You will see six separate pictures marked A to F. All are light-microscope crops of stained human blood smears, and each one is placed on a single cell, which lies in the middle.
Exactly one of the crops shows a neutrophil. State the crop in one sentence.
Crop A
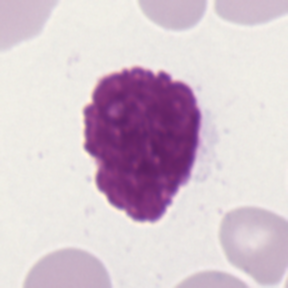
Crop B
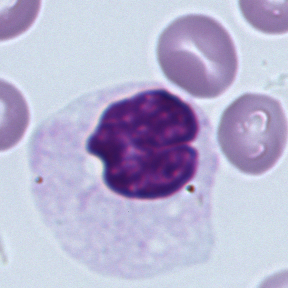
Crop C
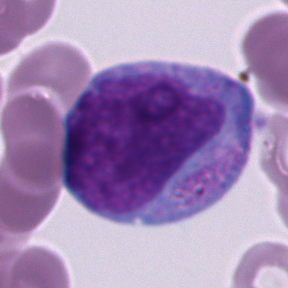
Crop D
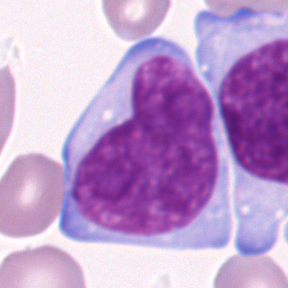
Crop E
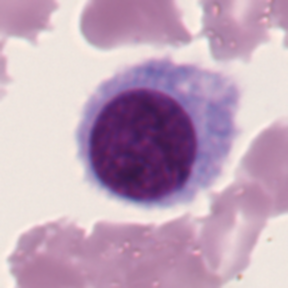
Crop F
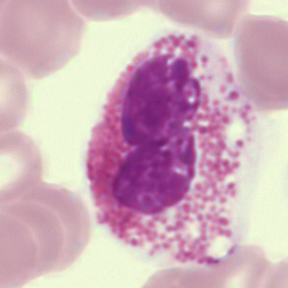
Crop B is the one depicting a neutrophil.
